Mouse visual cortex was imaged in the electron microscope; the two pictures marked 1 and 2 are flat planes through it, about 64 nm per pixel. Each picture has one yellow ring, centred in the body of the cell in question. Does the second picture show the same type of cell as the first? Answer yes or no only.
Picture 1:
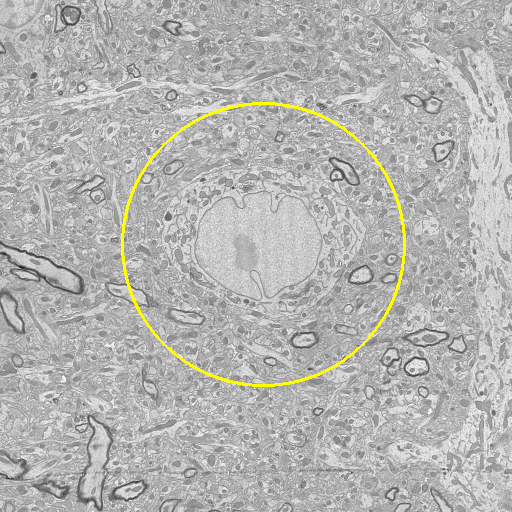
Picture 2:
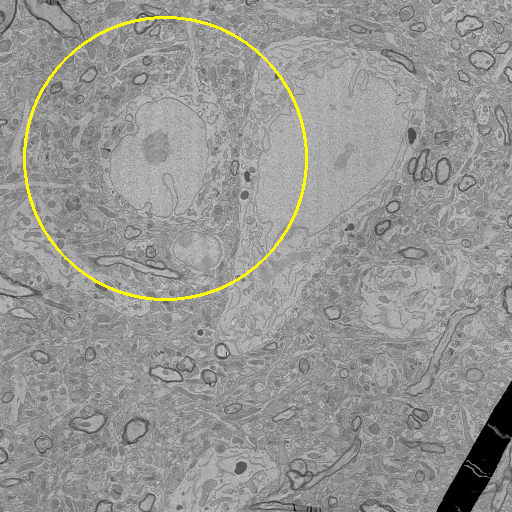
yes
